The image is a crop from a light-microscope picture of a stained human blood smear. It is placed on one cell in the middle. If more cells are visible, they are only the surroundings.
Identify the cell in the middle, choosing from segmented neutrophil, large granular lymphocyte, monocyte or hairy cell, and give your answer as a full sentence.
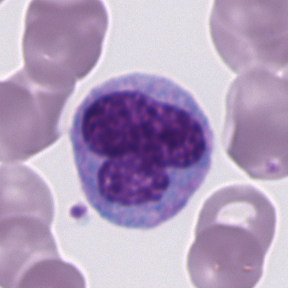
The cell centred in this crop is categorized as a monocyte.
